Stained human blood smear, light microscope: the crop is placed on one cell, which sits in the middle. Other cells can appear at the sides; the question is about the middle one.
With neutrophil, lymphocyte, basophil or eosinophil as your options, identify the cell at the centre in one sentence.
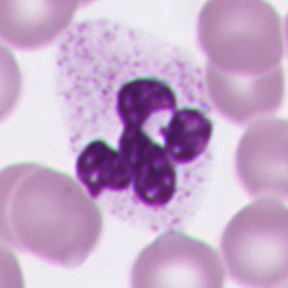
The middle of this crop holds a neutrophil.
